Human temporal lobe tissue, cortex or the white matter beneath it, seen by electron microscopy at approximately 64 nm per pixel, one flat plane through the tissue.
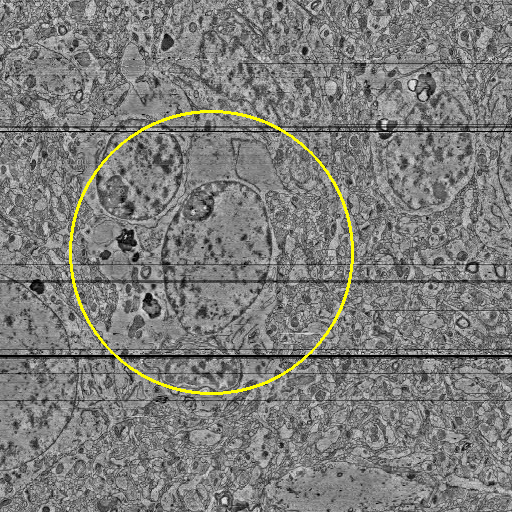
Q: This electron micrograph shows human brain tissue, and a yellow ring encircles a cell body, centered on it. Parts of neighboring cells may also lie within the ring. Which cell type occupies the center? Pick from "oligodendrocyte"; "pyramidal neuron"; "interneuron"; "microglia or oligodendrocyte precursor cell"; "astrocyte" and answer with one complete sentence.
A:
What sits at the ring's center in this micrograph is an astrocyte, among those choices.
